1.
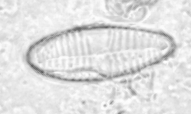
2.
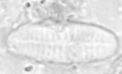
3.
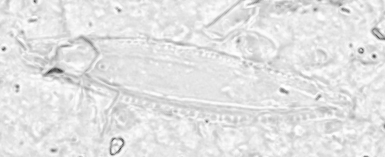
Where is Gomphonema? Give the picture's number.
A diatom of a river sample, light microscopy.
1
